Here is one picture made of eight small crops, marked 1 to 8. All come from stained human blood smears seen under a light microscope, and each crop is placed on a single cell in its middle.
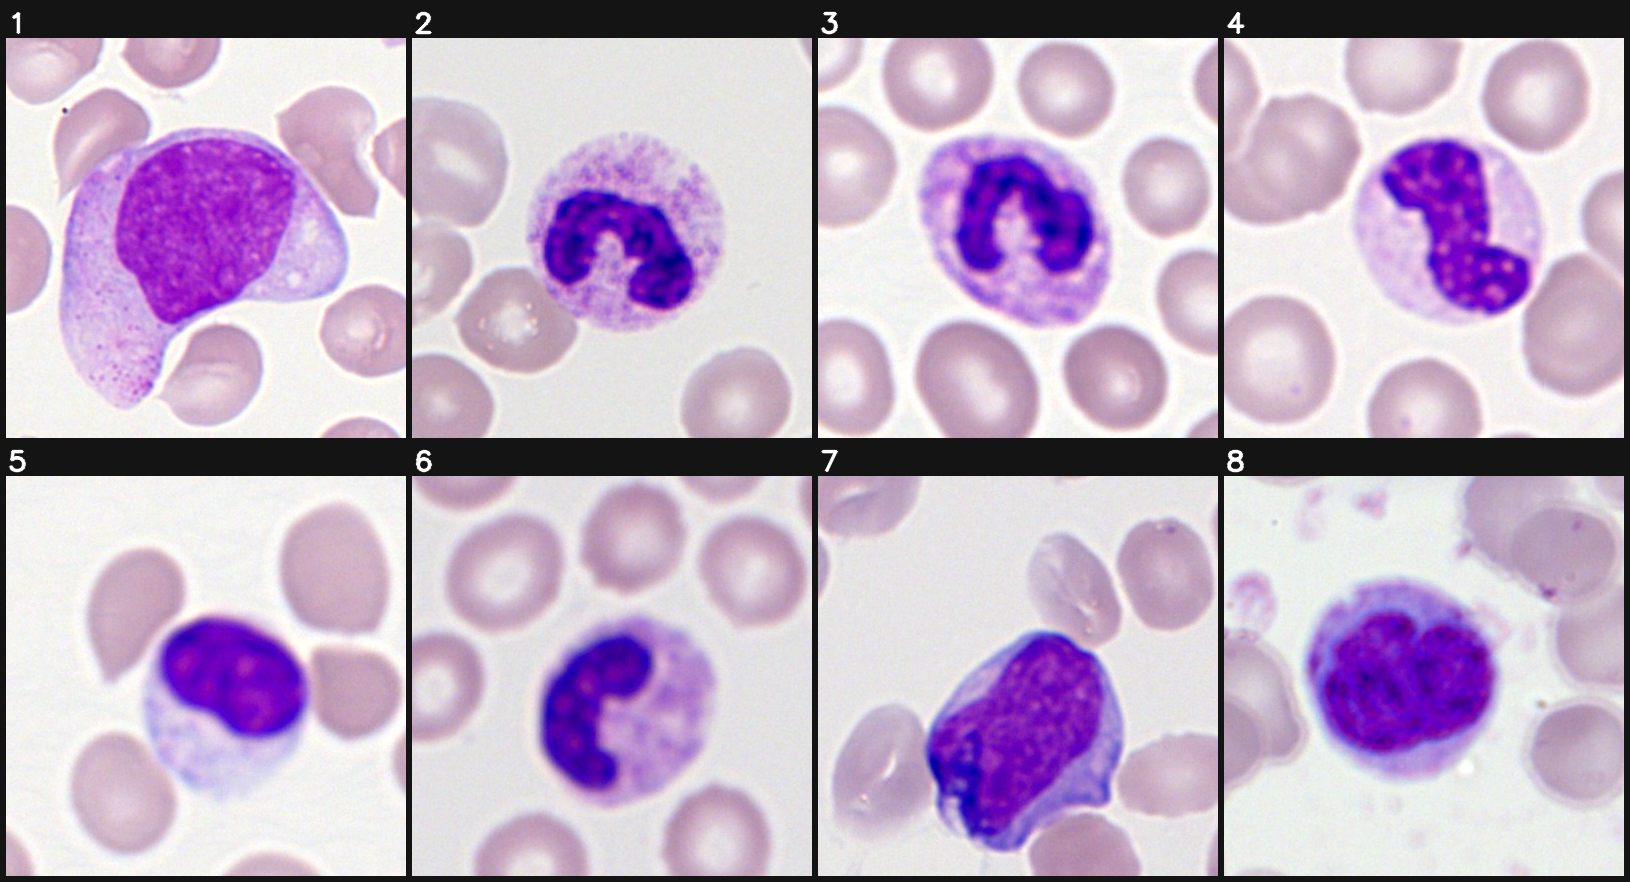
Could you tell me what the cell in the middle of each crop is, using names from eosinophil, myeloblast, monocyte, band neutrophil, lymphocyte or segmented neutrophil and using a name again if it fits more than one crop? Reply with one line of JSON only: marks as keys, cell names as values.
{"1": "monocyte", "2": "band neutrophil", "3": "band neutrophil", "4": "band neutrophil", "5": "lymphocyte", "6": "band neutrophil", "7": "myeloblast", "8": "monocyte"}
